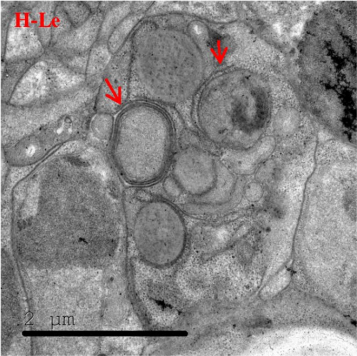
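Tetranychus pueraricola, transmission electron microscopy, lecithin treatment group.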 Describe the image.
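Cytoplasm of a mite cell at high magnification holds several large rounded vesicles, some bounded by two or more concentric membranes. Inside them lies granular material resembling the surrounding cytoplasm, partly with denser patches. These double-membraned vesicles that have engulfed cytoplasm are autophagosomes.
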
